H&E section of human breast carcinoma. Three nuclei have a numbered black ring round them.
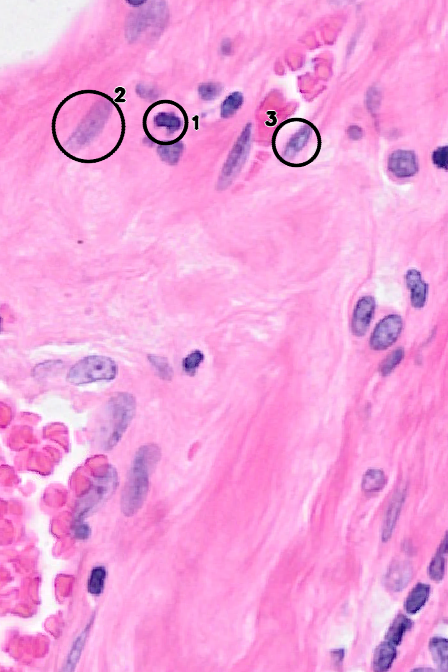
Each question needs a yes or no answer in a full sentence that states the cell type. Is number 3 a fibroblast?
No, what number 3 shows is an endothelial cell, not a fibroblast.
